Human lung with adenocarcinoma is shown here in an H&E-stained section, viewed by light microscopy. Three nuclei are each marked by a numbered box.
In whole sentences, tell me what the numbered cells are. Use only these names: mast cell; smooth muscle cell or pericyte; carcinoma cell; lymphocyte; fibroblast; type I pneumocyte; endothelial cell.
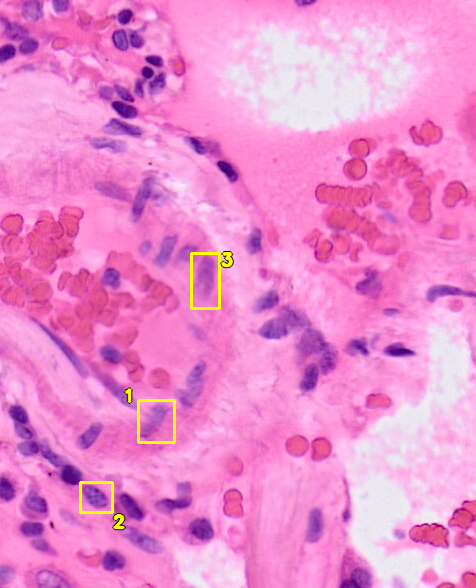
Cell 1 is a smooth muscle cell or pericyte, cell 2 is a mast cell and cell 3 is a smooth muscle cell or pericyte.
